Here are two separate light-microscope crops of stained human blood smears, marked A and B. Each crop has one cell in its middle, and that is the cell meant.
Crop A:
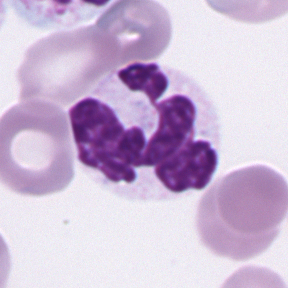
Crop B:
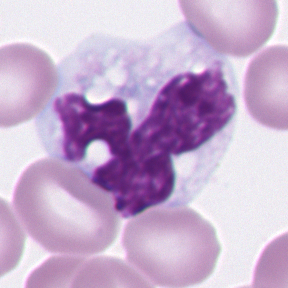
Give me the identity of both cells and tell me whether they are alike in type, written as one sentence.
No, crop B shows a monocyte, and crop A shows a segmented neutrophil.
